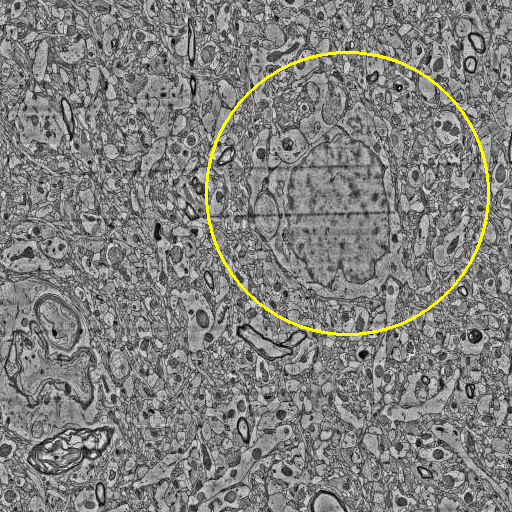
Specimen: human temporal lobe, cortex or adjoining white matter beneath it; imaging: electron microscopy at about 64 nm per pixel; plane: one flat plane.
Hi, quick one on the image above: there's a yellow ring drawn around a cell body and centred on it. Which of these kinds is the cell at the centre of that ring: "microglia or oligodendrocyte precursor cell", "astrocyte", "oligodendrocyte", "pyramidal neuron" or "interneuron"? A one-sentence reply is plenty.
The cell at the centre of the ring is an interneuron.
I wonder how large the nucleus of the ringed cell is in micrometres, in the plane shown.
Roughly 10 by 7 micrometres is the size of the nucleus in this plane.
